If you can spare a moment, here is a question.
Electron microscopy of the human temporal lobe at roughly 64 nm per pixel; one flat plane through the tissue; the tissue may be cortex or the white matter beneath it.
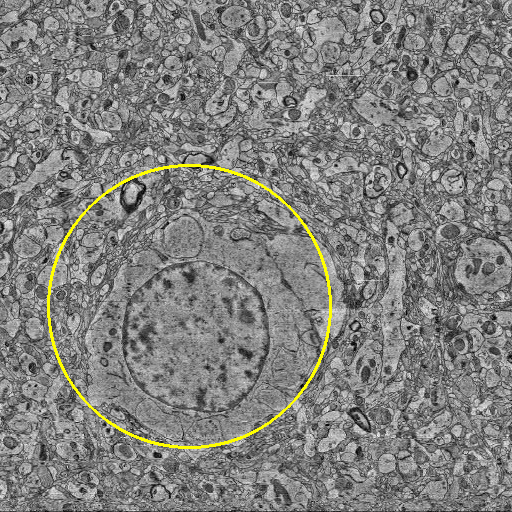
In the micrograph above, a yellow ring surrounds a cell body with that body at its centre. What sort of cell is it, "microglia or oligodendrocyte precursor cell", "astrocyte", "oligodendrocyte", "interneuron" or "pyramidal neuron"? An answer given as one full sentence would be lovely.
Centred inside the yellow ring, the cell body shown belongs to an astrocyte in this micrograph.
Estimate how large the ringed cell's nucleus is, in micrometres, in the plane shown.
Roughly 10 micrometers across in this plane.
